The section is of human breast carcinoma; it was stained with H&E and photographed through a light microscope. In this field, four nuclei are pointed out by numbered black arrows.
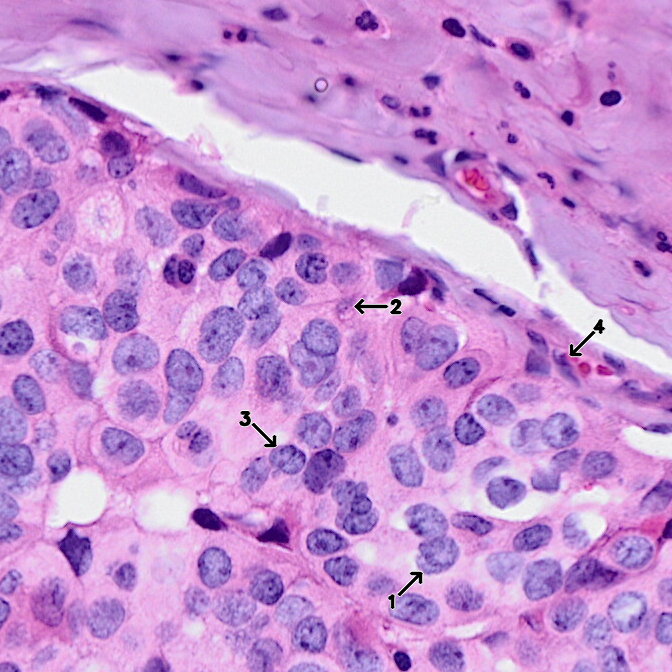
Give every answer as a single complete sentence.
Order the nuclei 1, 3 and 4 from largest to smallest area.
The nuclei rank 1, 3, 4, from largest to smallest.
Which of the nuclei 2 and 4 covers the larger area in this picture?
Number 4 is larger; its area is about 1.5 times that of number 2.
